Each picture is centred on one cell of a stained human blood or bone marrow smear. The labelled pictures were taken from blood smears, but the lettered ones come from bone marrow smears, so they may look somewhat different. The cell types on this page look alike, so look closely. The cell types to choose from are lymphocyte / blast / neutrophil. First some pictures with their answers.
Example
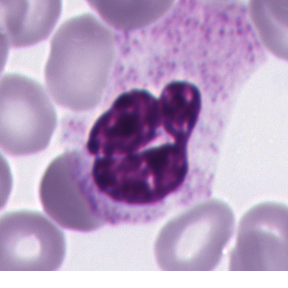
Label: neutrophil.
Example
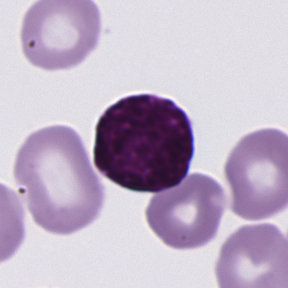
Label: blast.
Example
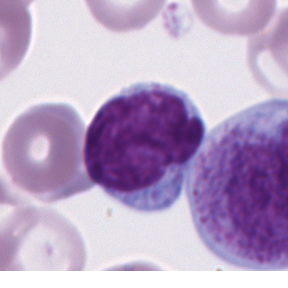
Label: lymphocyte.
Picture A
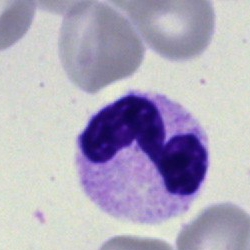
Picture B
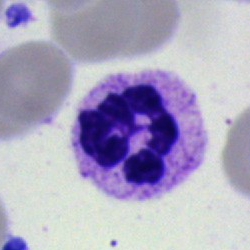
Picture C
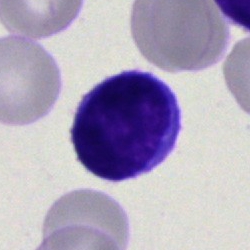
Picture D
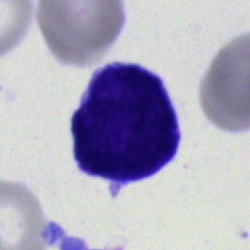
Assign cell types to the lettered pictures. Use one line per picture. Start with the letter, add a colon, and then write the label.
A: neutrophil.
B: neutrophil.
C: lymphocyte.
D: blast.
